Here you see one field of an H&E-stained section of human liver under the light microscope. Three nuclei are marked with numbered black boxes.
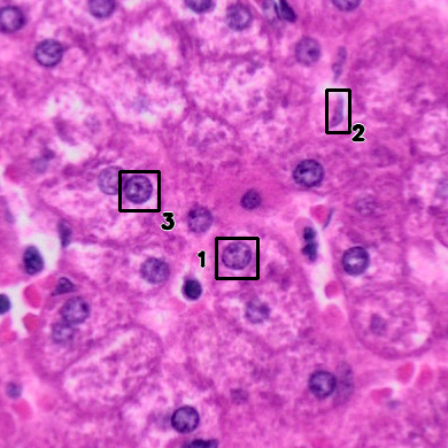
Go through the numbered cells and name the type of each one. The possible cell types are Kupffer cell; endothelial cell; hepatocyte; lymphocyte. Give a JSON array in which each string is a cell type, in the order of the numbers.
["hepatocyte", "endothelial cell", "hepatocyte"]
